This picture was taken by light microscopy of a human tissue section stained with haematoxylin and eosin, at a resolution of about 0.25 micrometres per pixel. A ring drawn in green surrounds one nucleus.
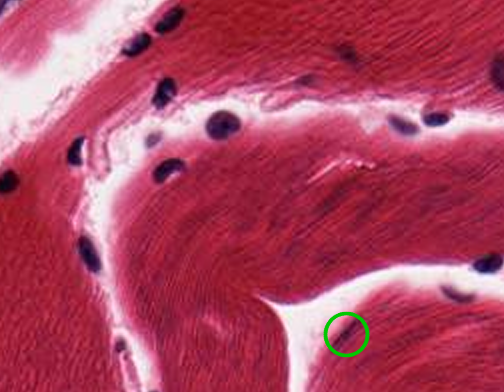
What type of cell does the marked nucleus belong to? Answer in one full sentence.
Marked in this picture is the nucleus of a skeletal muscle fibre.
